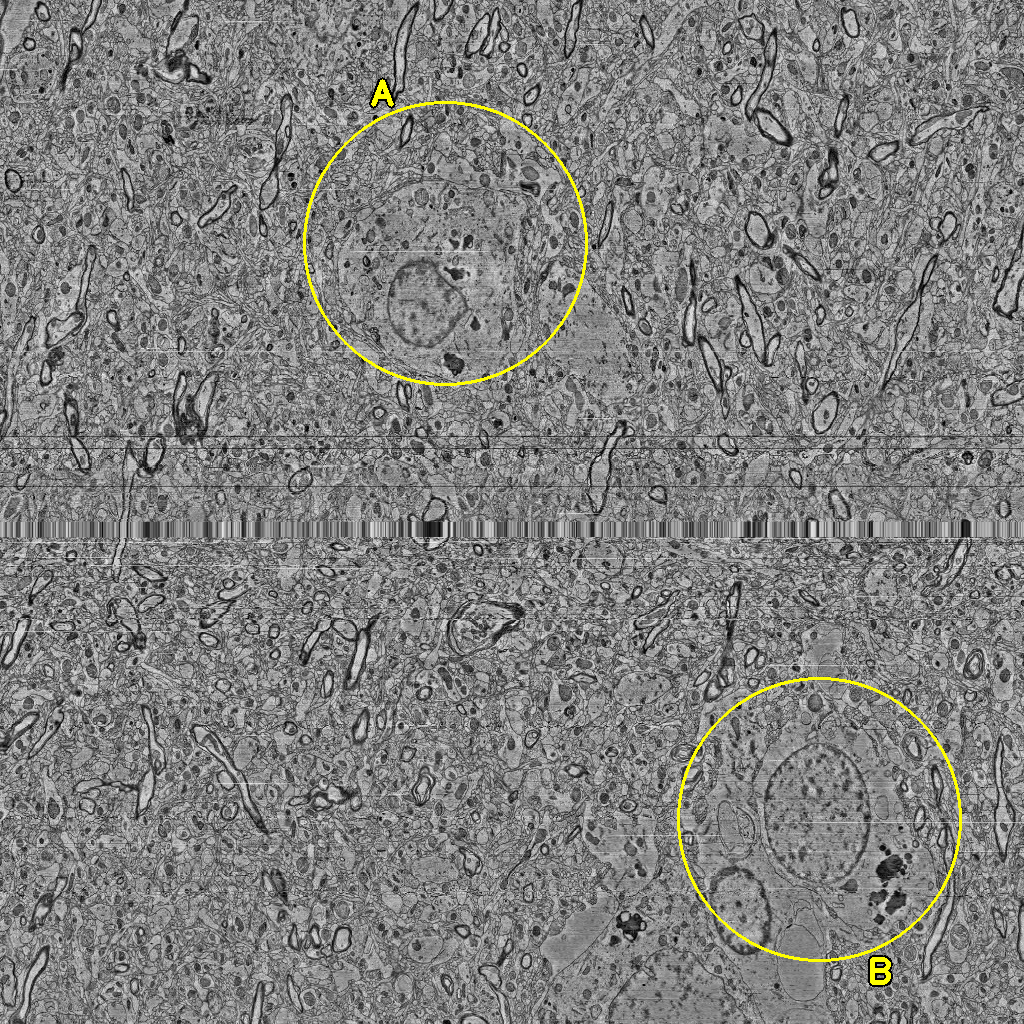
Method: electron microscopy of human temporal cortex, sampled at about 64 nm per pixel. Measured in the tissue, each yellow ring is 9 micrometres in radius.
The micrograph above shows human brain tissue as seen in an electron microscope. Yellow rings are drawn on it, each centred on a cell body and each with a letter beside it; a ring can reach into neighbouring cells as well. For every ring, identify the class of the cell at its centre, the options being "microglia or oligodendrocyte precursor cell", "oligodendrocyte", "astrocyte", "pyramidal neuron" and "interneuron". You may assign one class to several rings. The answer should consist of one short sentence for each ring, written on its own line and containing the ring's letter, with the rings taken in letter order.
The ring lettered A is centred on an interneuron.
The ring lettered B is centred on an astrocyte.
